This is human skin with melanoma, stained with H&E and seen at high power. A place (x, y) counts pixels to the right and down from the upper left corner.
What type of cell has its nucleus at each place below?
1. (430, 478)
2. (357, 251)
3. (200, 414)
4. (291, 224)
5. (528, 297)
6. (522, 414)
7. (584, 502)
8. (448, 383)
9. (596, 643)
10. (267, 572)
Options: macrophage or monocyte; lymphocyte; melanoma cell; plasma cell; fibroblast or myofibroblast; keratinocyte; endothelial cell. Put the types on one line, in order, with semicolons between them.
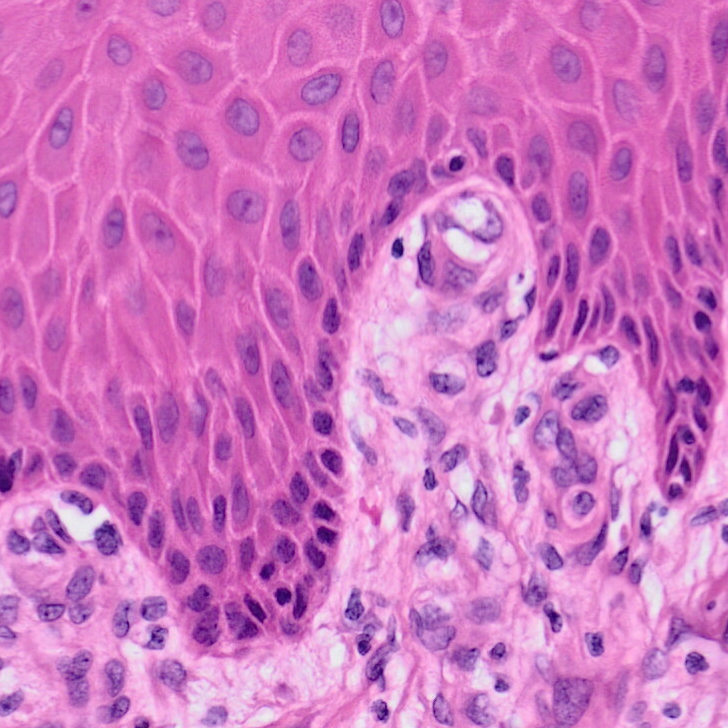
lymphocyte; keratinocyte; keratinocyte; keratinocyte; fibroblast or myofibroblast; lymphocyte; endothelial cell; endothelial cell; lymphocyte; keratinocyte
